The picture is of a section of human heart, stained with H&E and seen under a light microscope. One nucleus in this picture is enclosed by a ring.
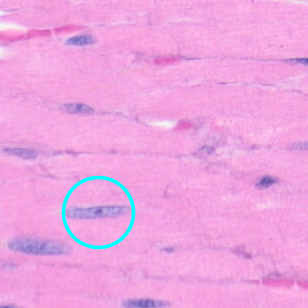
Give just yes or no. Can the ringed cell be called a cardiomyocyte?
yes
